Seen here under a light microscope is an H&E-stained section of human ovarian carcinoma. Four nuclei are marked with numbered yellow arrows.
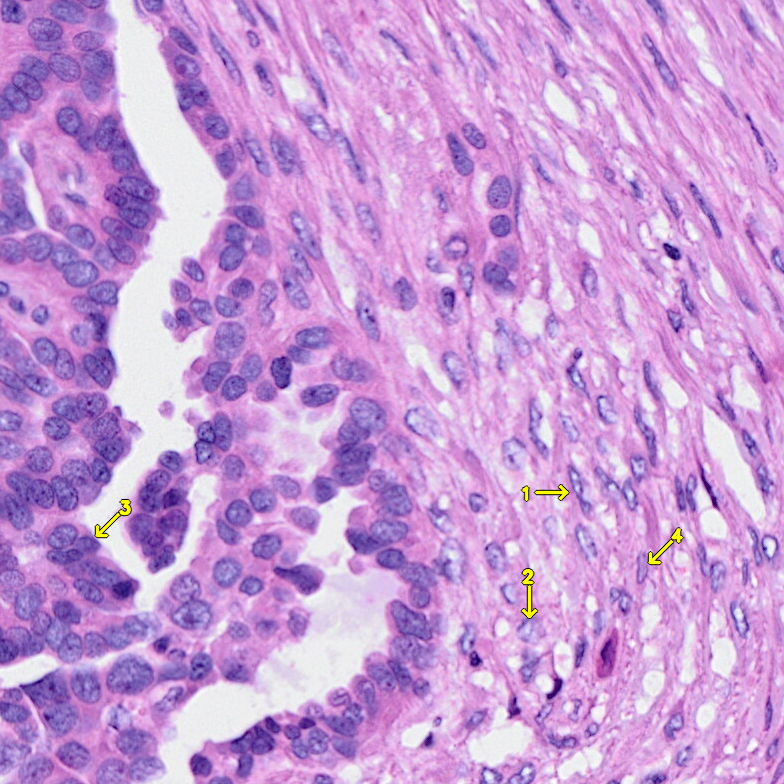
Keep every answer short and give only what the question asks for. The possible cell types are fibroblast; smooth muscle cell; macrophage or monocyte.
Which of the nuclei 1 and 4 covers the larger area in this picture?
1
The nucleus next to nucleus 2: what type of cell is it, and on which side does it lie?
a fibroblast, below nucleus 2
